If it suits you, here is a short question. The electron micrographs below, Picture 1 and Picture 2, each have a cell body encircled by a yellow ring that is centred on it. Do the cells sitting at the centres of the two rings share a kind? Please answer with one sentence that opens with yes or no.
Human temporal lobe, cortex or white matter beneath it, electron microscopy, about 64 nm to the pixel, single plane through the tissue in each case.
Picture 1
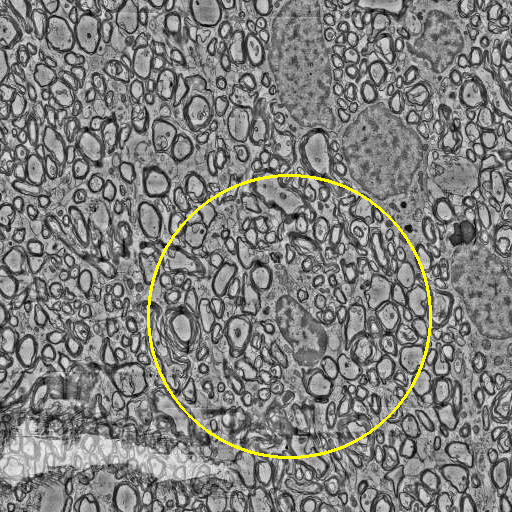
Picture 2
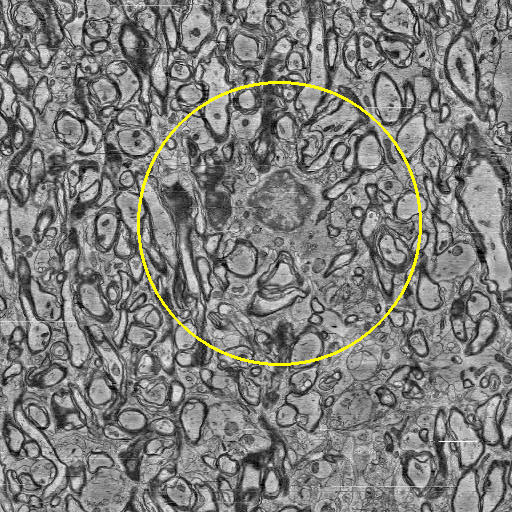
No, the two cells sitting at the ring centres fall into two kinds.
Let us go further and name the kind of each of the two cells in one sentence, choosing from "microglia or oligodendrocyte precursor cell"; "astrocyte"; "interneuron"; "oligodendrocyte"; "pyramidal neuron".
The ring of the first picture is on a microglial cell or oligodendrocyte precursor cell, the ring of the second on an oligodendrocyte.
